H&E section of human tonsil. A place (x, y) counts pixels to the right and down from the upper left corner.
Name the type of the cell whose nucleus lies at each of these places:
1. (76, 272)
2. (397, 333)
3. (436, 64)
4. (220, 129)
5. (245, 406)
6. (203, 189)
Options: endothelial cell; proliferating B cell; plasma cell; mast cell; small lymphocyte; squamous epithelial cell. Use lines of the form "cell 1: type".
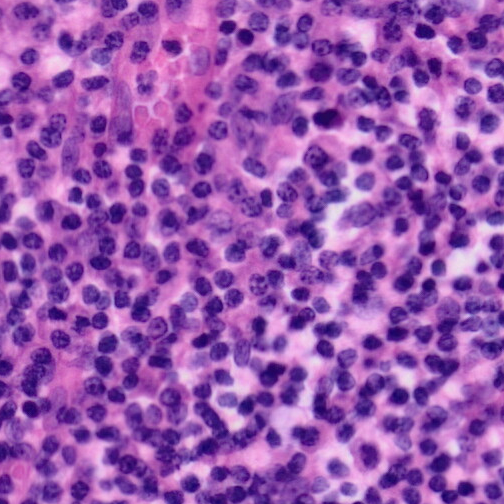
cell 1: plasma cell
cell 2: small lymphocyte
cell 3: plasma cell
cell 4: plasma cell
cell 5: small lymphocyte
cell 6: plasma cell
